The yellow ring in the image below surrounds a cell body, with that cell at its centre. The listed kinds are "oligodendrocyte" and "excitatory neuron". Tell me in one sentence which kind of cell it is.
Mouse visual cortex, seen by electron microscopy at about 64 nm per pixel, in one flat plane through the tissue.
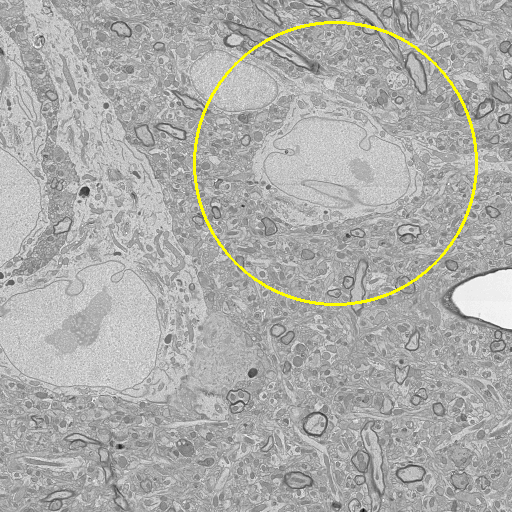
The centre of the ring holds an excitatory neuron.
